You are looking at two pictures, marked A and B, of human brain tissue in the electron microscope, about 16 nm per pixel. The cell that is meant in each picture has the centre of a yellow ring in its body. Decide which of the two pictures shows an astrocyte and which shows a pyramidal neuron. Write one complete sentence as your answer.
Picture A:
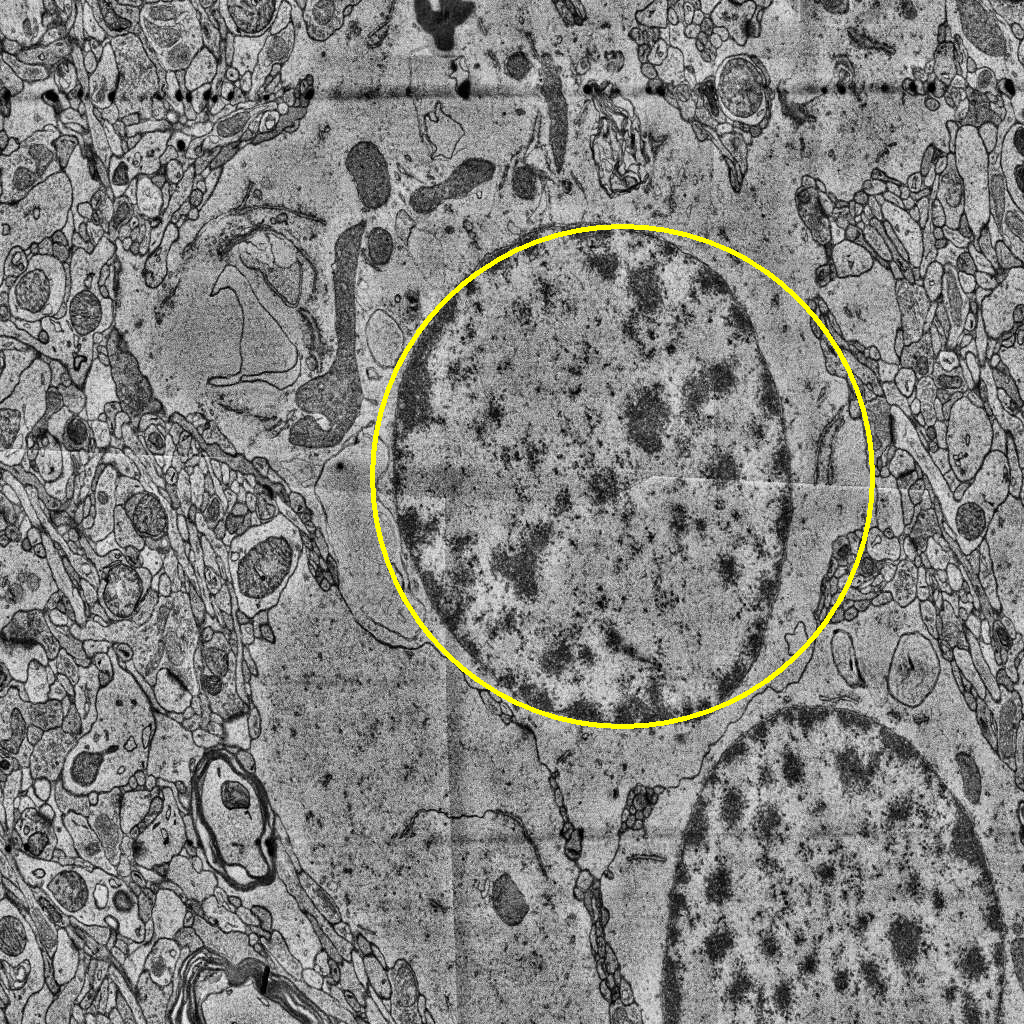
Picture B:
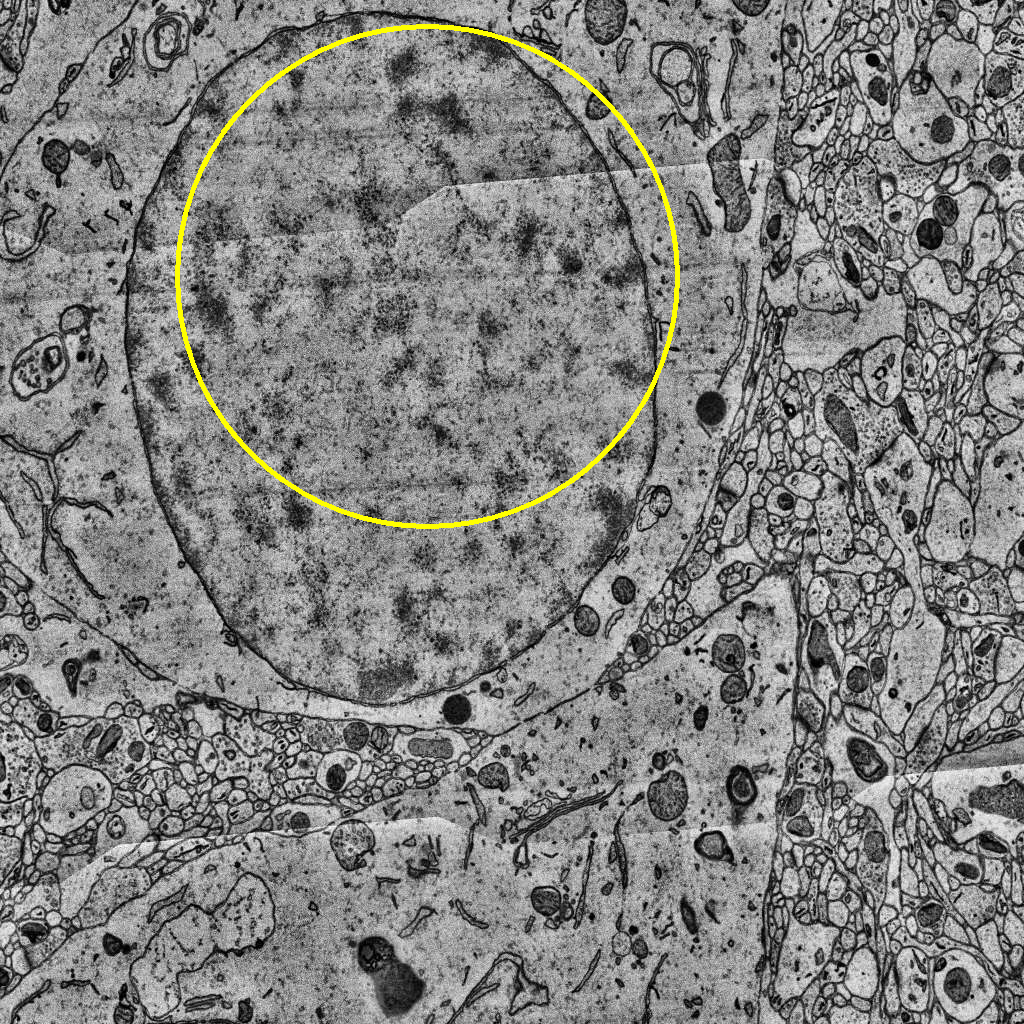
Picture A is of an astrocyte, and picture B is of a pyramidal neuron.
